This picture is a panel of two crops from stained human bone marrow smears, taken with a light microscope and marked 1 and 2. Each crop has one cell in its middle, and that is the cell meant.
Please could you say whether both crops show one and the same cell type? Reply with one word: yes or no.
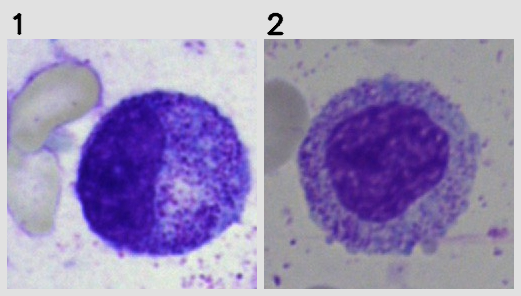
yes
